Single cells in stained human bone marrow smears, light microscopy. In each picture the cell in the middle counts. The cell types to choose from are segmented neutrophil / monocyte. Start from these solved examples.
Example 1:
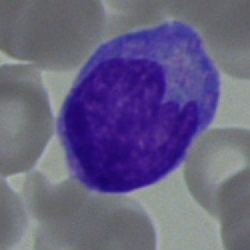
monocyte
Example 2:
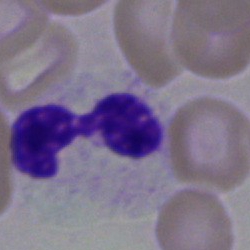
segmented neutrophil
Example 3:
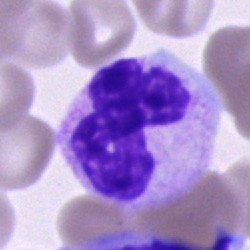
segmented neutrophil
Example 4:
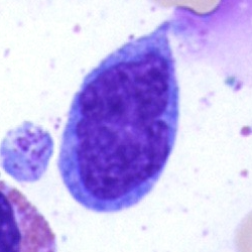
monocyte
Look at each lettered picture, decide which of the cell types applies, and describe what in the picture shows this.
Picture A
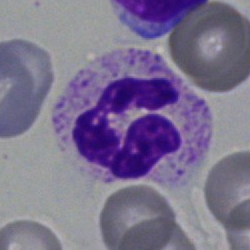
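segmented neutrophil. Evidence: Fine purple granules are scattered throughout the cytoplasm.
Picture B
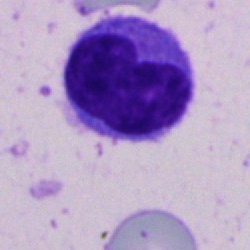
monocyte. Evidence: The nucleus fills most of the cell.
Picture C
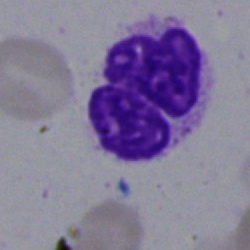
segmented neutrophil. Evidence: Fine pink-purple granules are scattered through the cytoplasm.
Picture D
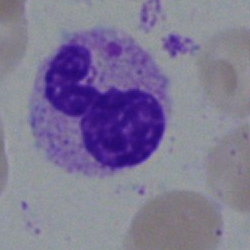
segmented neutrophil. Evidence: The cytoplasm is plentiful and pale lilac.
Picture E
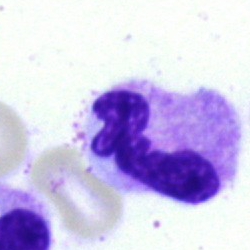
segmented neutrophil. Evidence: The cytoplasm is ample and pale lilac-purple.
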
